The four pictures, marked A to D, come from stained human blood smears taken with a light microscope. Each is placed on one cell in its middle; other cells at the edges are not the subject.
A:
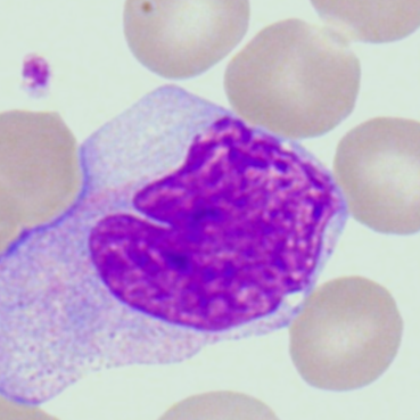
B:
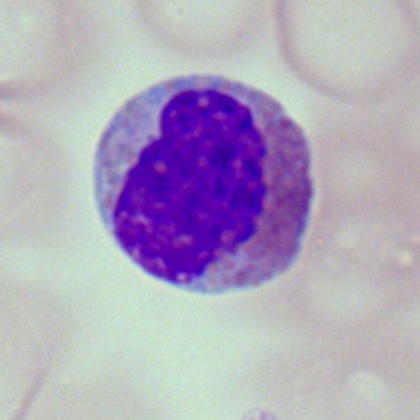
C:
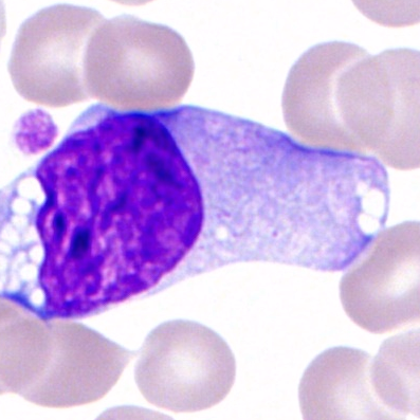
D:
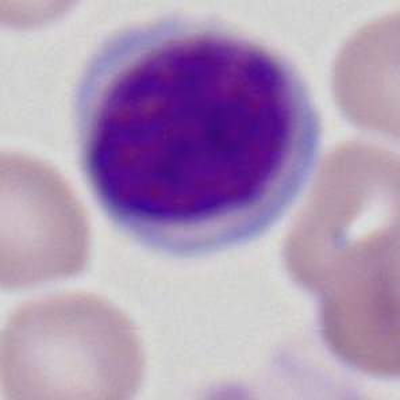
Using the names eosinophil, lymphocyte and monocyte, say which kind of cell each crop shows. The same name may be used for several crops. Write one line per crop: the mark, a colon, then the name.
A: monocyte
B: eosinophil
C: monocyte
D: lymphocyte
